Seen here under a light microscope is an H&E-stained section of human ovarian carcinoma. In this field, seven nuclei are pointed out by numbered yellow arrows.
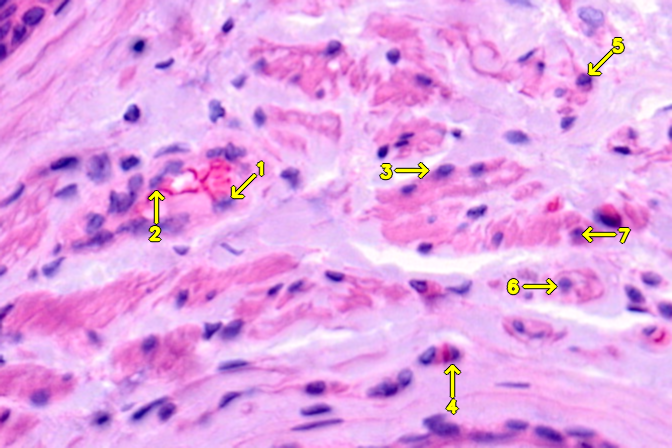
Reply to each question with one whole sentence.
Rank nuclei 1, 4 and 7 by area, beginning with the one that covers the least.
The order from the smallest nucleus to the largest is 7, 4, 1.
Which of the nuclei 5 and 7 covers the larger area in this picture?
At about 1.5 times the area of nucleus 7, nucleus 5 is the larger of the two.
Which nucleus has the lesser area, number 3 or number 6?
Nucleus 6 covers less area, with nucleus 3 about 1.5 times as large.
